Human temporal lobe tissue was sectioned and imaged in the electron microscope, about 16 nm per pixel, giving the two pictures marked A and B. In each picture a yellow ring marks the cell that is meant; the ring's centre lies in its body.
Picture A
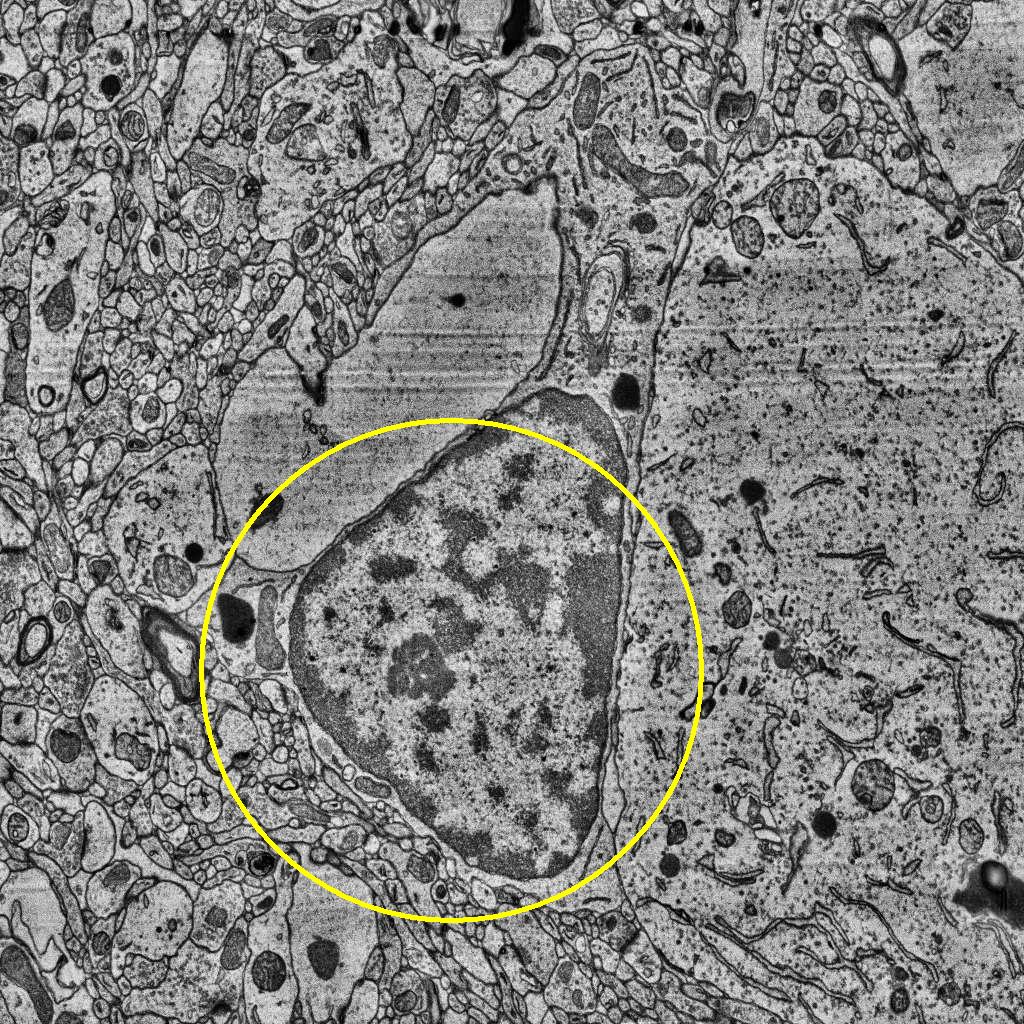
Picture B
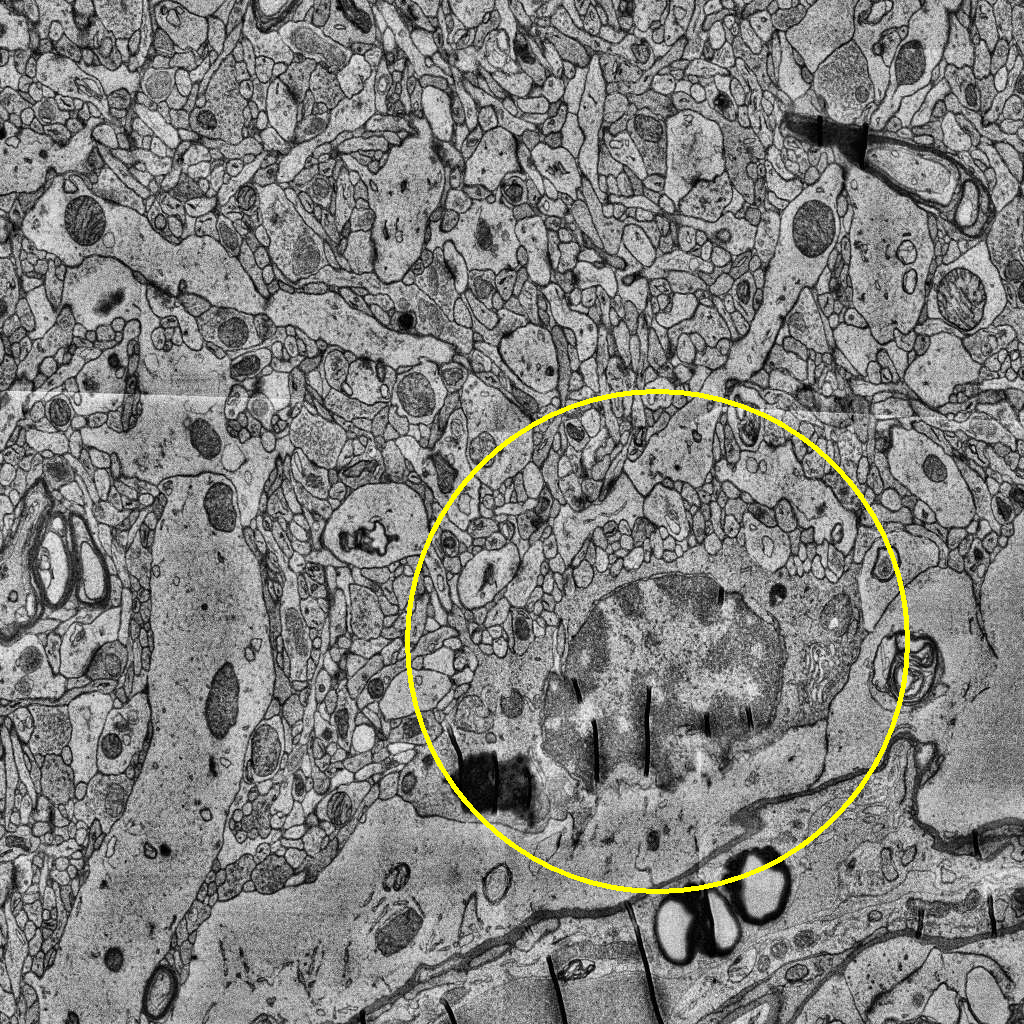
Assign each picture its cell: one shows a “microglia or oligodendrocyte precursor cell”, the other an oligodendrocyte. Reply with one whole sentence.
Picture A shows a “microglia or oligodendrocyte precursor cell” and picture B shows an oligodendrocyte.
